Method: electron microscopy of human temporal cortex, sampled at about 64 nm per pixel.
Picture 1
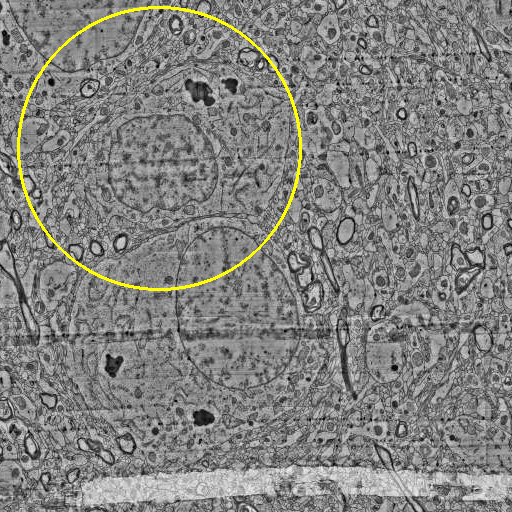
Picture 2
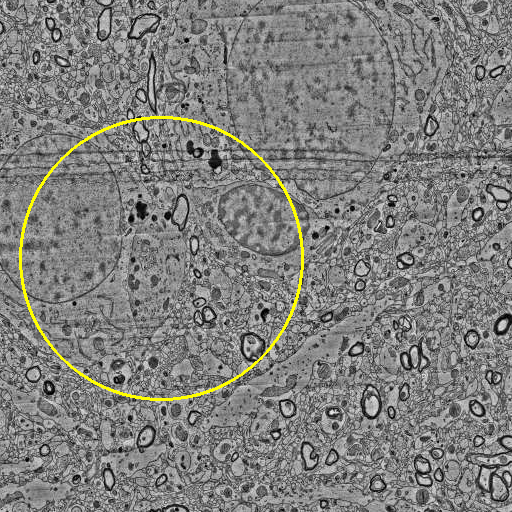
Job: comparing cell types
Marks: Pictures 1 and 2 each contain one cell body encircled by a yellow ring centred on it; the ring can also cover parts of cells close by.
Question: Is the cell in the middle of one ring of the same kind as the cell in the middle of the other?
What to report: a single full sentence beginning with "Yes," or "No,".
No, the cell at the ring centre in Picture 1 and its partner in Picture 2 are of two kinds.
